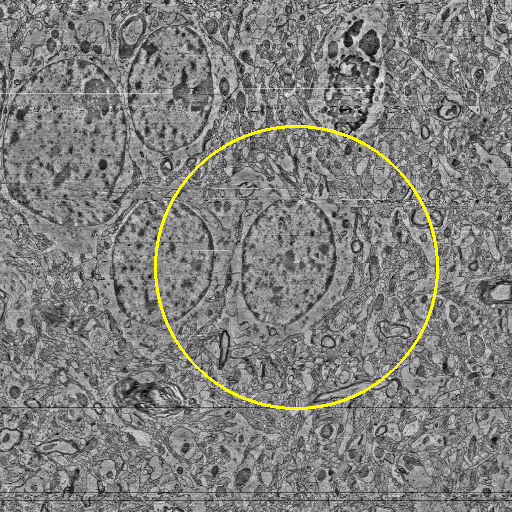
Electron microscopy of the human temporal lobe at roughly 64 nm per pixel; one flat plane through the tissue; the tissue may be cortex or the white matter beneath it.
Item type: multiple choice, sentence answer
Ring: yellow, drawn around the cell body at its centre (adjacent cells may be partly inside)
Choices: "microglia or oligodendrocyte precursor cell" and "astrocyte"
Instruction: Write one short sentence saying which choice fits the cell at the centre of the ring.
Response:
This ring is drawn around an astrocyte.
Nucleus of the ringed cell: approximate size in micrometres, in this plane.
About 9 by 6 micrometres in this plane.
